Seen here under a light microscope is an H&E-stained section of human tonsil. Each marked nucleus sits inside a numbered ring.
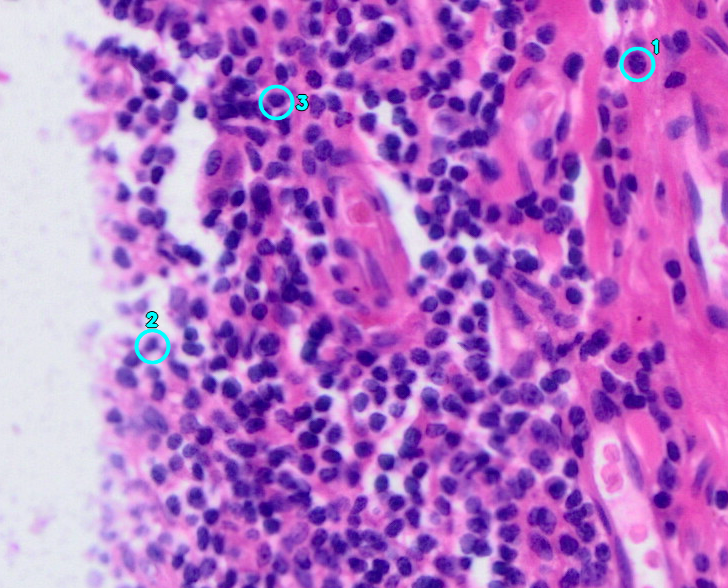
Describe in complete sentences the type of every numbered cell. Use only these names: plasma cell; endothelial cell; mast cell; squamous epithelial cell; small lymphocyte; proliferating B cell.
Cell 1 is a plasma cell. Cells 2 and 3 are small lymphocytes.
